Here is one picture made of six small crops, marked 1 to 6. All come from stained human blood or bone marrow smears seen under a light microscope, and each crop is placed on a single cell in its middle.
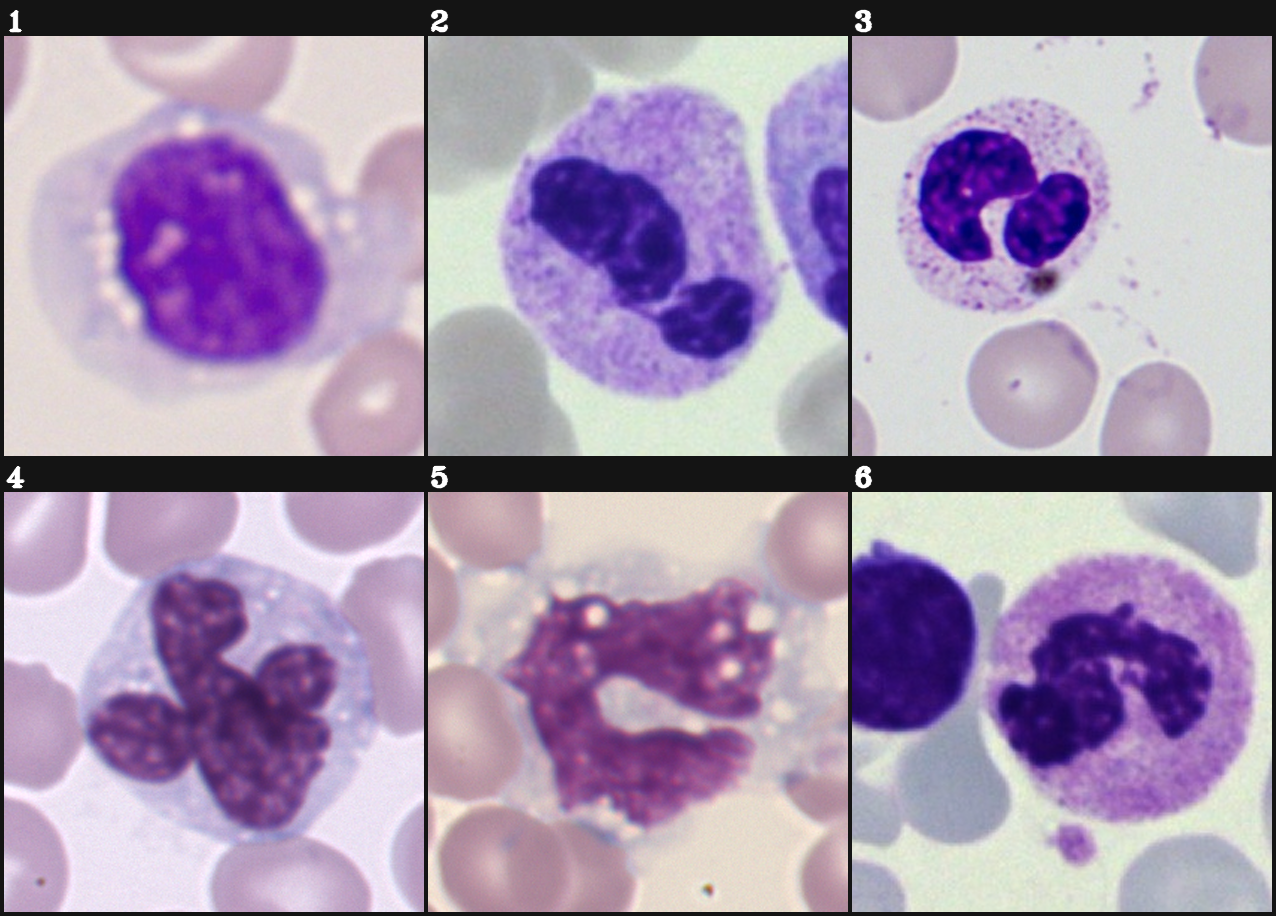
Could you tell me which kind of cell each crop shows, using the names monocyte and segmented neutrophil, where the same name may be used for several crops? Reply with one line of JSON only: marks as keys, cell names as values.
{"1": "monocyte", "2": "segmented neutrophil", "3": "segmented neutrophil", "4": "monocyte", "5": "monocyte", "6": "segmented neutrophil"}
